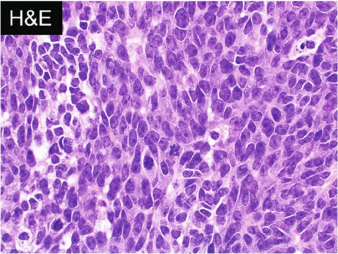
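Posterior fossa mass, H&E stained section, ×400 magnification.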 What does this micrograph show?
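A small round blue cell tumor at high power, composed of sheets of closely crowded cells with very scant, pale pink cytoplasm. The nuclei are round to oval and sometimes slightly elongated, with dark, hyperchromatic chromatin; many overlap or mould against one another. Nuclei vary somewhat in size and shape. No glands, rosettes of clear form or organized layers are seen; the cells simply pack the field.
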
